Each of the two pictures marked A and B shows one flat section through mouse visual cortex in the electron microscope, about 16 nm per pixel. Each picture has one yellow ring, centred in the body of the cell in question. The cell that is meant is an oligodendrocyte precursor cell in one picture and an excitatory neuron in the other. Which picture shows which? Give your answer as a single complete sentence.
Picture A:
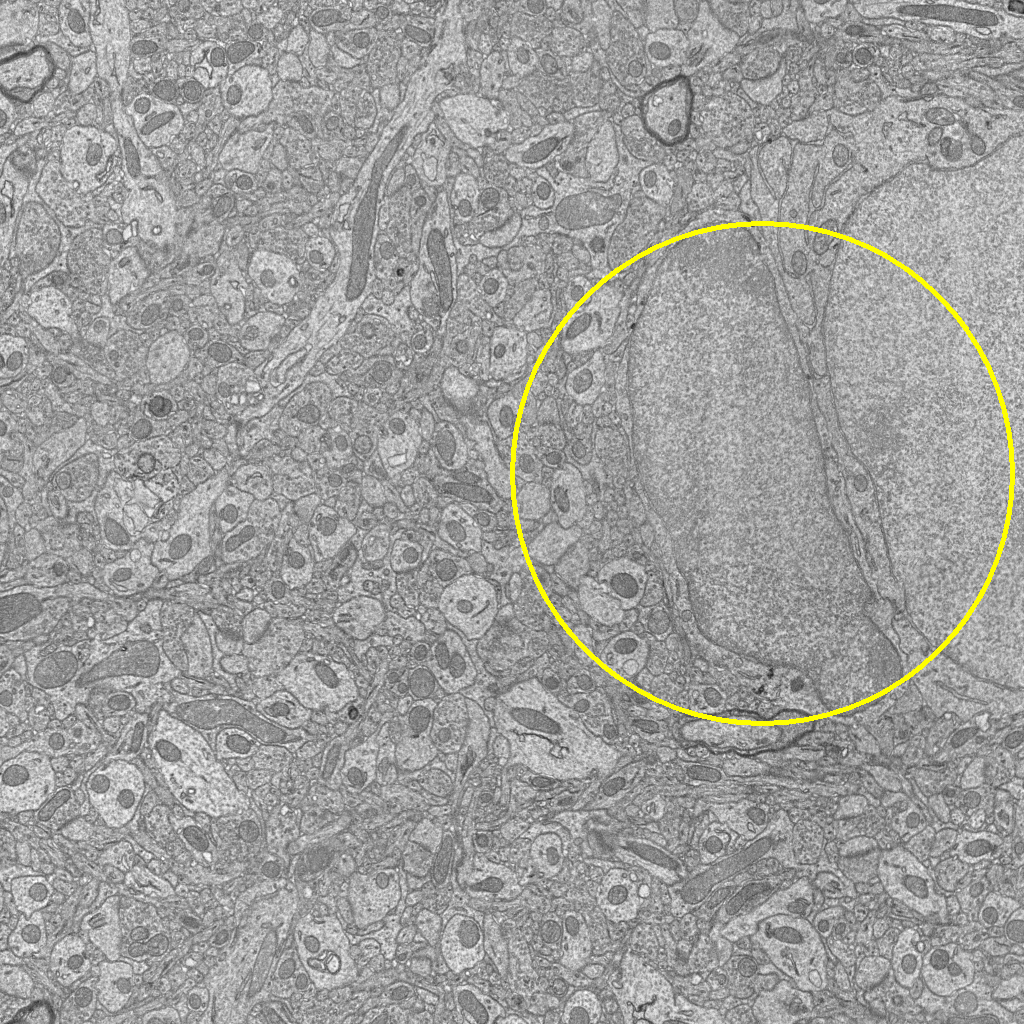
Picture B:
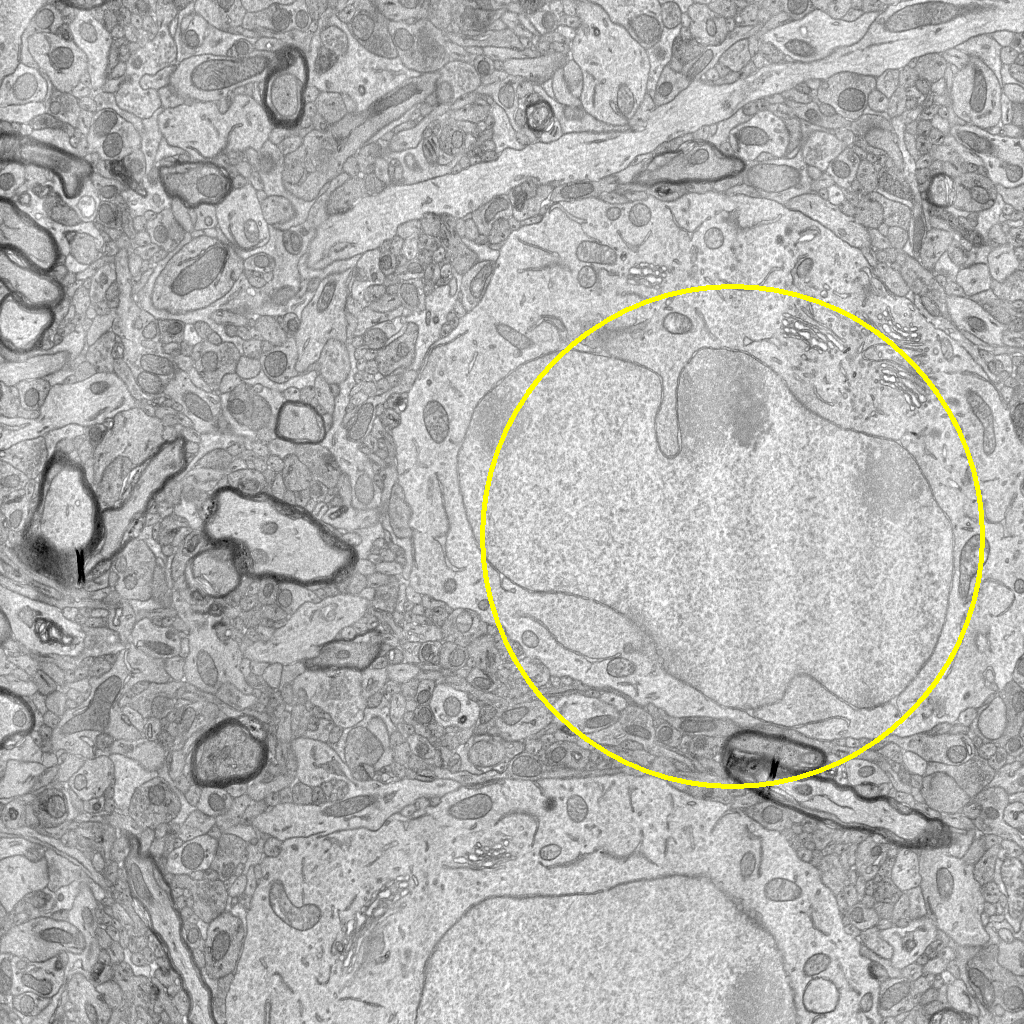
Picture B shows an excitatory neuron, while picture A shows an oligodendrocyte precursor cell.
